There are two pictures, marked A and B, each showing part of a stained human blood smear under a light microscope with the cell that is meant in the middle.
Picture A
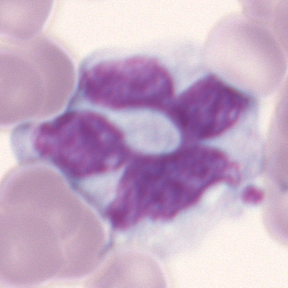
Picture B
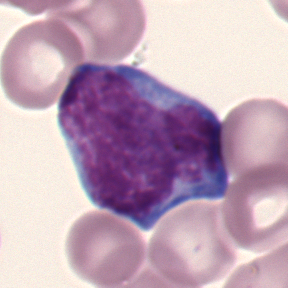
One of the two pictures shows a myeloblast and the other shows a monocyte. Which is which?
A: monocyte
B: myeloblast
